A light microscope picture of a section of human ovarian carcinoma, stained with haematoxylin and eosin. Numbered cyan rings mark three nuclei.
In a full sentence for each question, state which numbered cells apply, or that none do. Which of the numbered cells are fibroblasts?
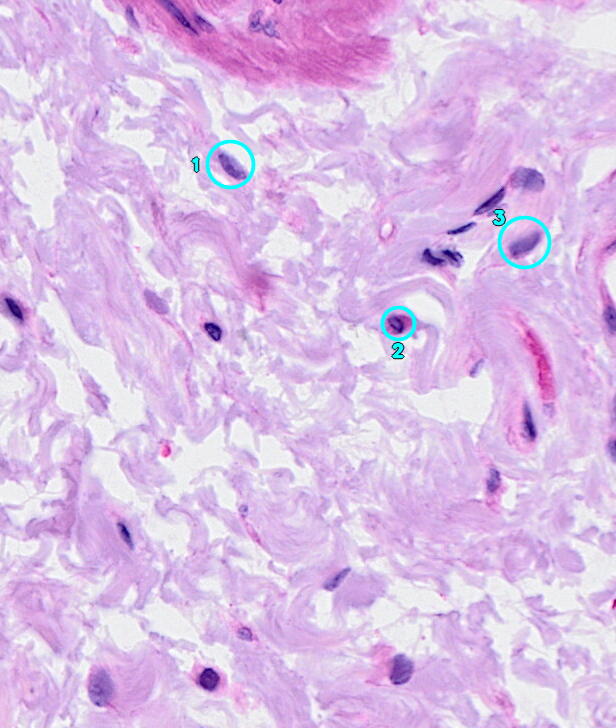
Regarding the numbered cells 1 and 3, these are fibroblasts.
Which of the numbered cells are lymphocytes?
In short, lymphocytes do not occur among the numbered cells.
